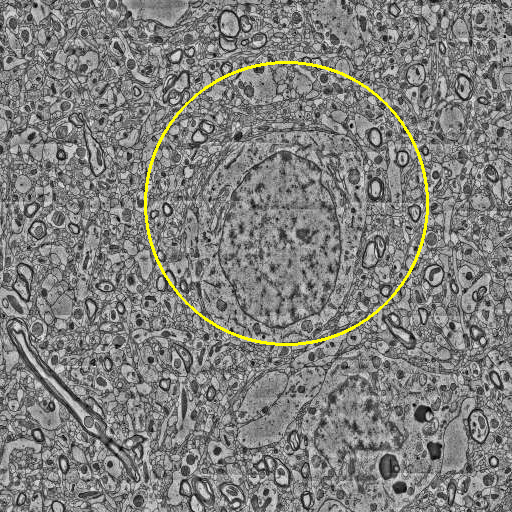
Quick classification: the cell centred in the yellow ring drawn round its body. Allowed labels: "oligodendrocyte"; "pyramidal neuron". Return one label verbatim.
pyramidal neuron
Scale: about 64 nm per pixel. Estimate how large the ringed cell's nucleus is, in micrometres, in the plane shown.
Approximately 11 x 8 micrometres in this plane.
